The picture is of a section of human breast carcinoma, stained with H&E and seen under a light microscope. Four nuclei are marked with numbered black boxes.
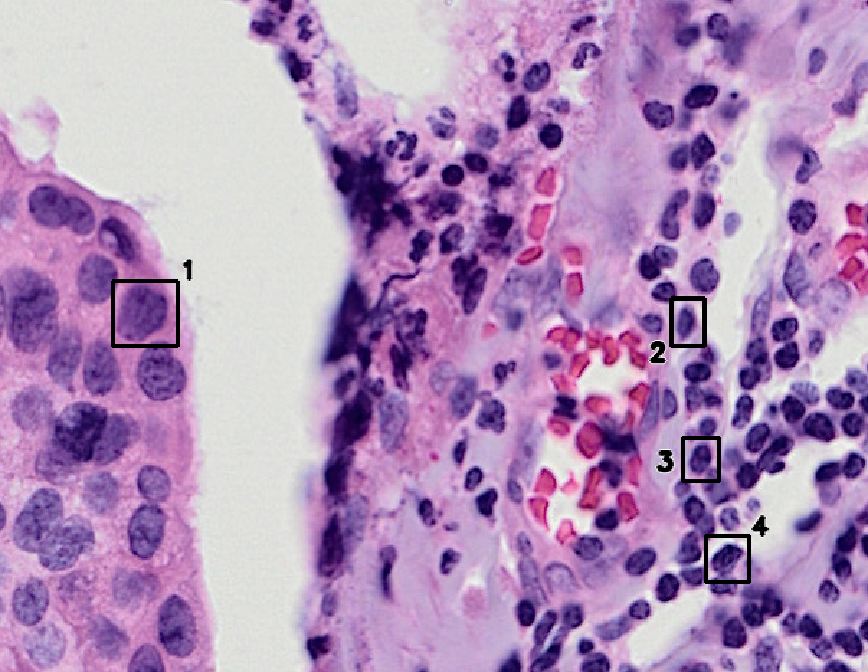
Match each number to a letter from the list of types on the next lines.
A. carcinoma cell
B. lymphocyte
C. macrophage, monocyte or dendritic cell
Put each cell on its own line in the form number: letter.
1: A
2: B
3: B
4: B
